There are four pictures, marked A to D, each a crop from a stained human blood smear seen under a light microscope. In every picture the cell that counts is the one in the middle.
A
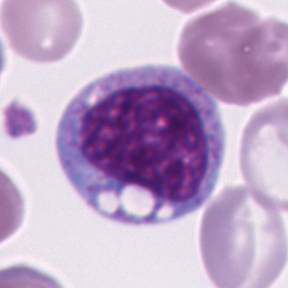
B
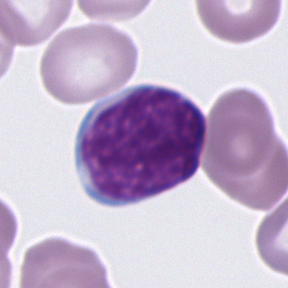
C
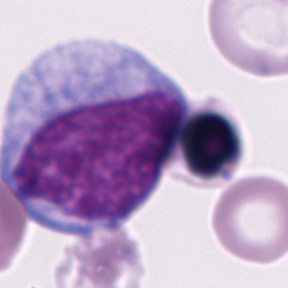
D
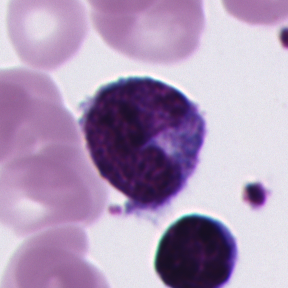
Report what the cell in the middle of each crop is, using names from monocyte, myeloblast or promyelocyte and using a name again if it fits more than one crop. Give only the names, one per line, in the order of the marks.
promyelocyte
myeloblast
promyelocyte
monocyte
